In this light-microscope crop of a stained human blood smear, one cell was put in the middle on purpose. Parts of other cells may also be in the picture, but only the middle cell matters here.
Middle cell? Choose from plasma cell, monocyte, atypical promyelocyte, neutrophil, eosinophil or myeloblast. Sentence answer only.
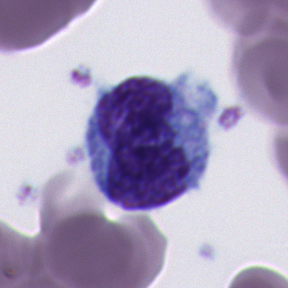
Here the centrally located cell is a monocyte.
